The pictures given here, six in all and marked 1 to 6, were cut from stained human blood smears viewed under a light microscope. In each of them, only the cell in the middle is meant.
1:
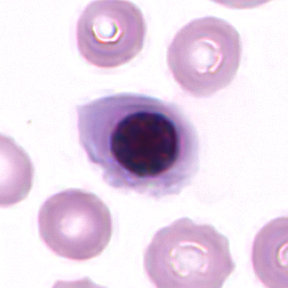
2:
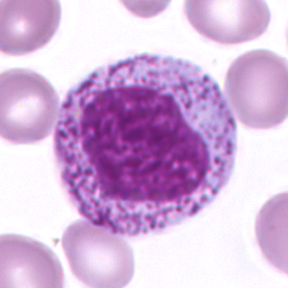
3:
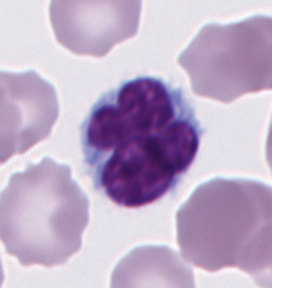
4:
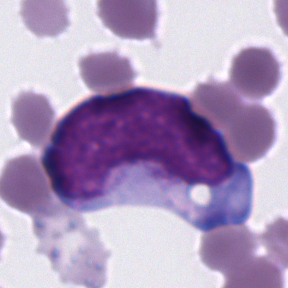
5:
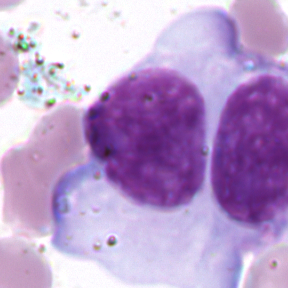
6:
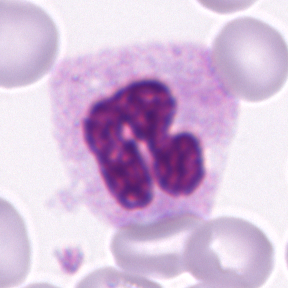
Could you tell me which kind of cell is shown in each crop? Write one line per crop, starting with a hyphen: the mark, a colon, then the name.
- 1: erythroblast
- 2: myelocyte
- 3: hairy cell
- 4: monocyte
- 5: plasma cell
- 6: segmented neutrophil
